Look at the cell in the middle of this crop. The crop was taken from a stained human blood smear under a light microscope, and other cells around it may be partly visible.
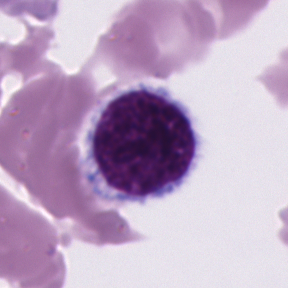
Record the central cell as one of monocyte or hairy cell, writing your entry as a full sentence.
This crop has a hairy cell at its centre.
